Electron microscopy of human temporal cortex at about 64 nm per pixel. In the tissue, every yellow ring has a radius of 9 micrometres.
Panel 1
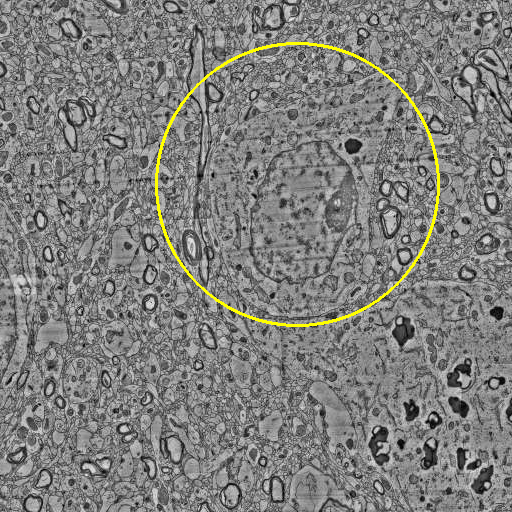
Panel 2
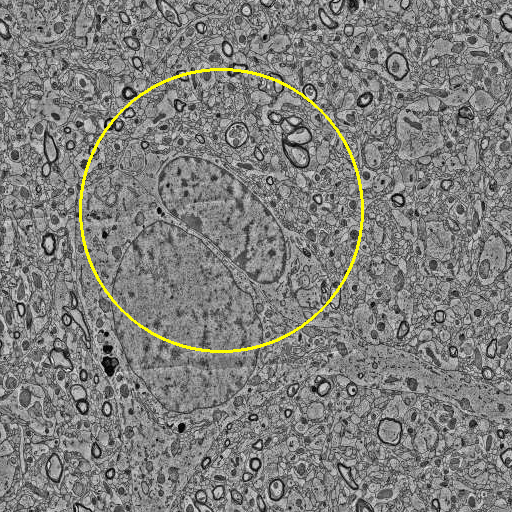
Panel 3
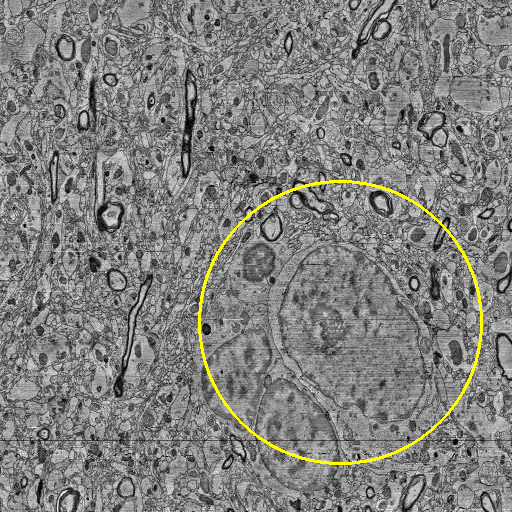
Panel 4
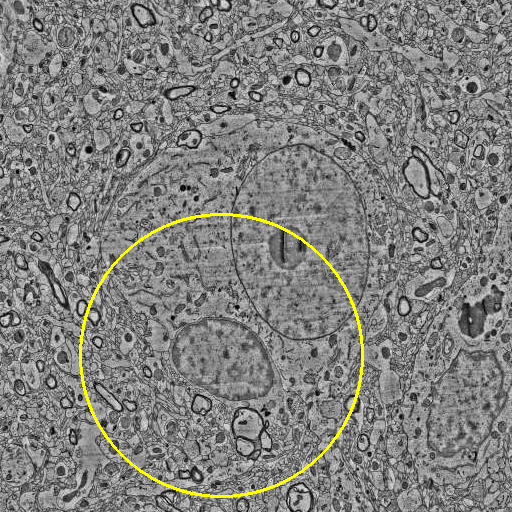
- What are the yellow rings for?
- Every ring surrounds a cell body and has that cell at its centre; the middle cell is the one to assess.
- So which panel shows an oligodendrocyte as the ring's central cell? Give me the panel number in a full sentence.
The panel whose ring is centred on the cell in question is panel 4.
